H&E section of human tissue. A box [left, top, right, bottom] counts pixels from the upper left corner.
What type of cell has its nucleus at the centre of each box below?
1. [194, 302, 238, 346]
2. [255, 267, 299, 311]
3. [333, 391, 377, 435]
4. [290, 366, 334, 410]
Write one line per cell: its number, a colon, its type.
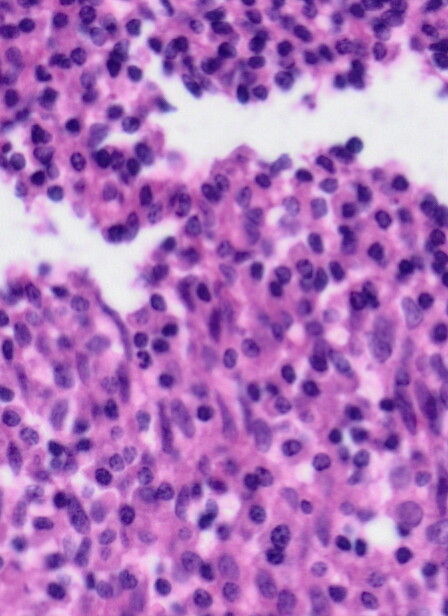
1: squamous epithelial cell
2: plasma cell
3: plasma cell
4: plasma cell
